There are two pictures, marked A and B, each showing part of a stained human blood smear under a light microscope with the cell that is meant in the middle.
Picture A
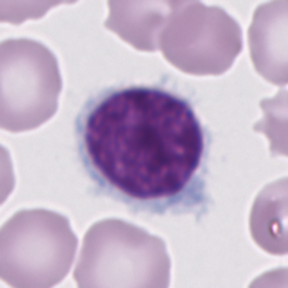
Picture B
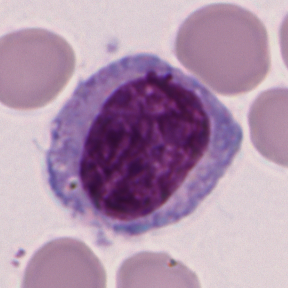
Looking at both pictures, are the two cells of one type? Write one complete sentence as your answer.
No. Picture A shows a hairy cell, but picture B shows a plasma cell.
